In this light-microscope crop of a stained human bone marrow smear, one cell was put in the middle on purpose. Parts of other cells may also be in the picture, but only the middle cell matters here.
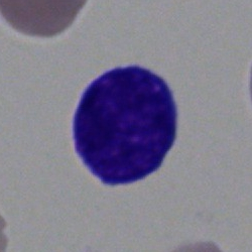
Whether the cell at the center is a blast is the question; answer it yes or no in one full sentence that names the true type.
Yes, the cell centred in the field of view is a blast.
